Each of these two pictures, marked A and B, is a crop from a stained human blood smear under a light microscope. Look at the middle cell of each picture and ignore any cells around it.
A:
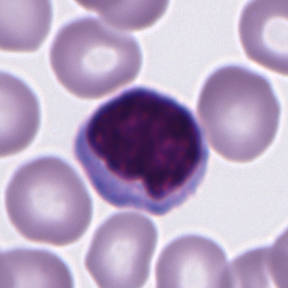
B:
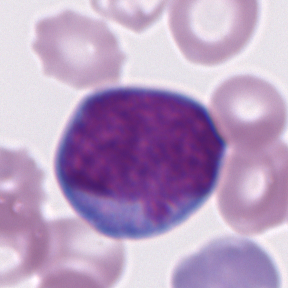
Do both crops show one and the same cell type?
no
